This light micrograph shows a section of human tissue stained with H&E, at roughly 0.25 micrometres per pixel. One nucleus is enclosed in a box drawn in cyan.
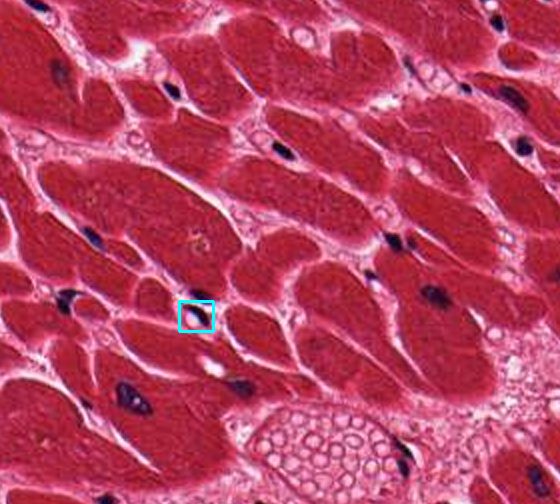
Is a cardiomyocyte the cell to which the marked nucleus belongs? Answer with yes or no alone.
no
